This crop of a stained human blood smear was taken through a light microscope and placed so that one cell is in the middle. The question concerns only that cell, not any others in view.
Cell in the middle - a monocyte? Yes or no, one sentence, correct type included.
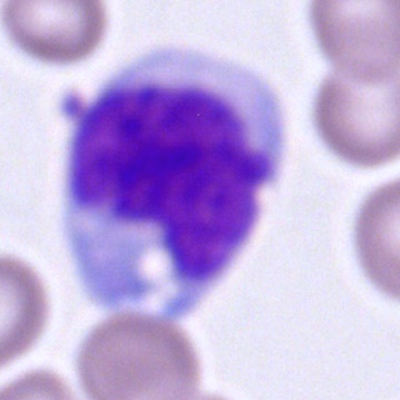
Yes, it is a monocyte that lies in the middle.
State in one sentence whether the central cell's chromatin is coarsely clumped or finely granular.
You can see that its chromatin is coarsely clumped.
